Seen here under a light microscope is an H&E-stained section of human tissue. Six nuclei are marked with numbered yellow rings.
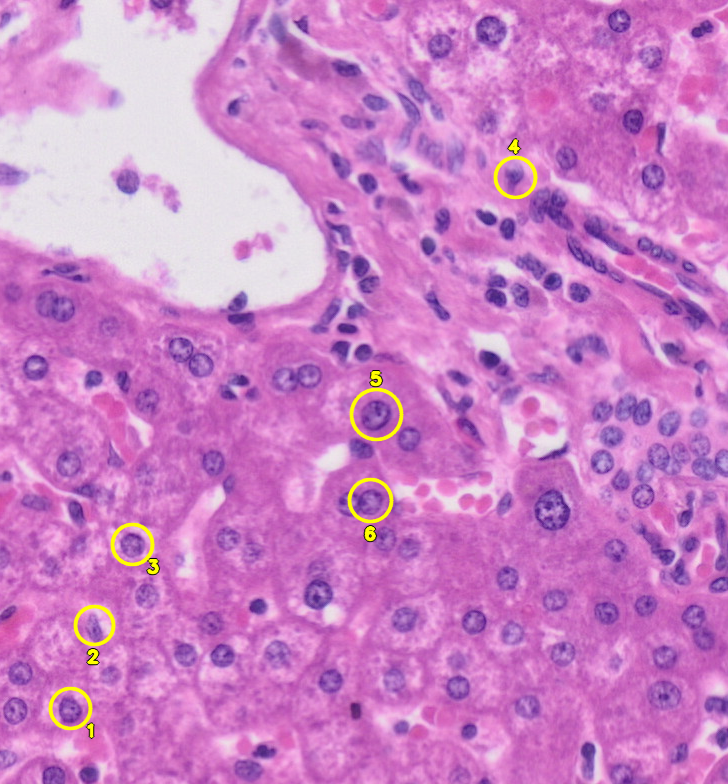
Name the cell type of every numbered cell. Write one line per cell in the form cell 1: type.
cell 1: hepatocyte
cell 2: Kupffer cell
cell 3: hepatocyte
cell 4: fibroblast or stellate cell
cell 5: hepatocyte
cell 6: hepatocyte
